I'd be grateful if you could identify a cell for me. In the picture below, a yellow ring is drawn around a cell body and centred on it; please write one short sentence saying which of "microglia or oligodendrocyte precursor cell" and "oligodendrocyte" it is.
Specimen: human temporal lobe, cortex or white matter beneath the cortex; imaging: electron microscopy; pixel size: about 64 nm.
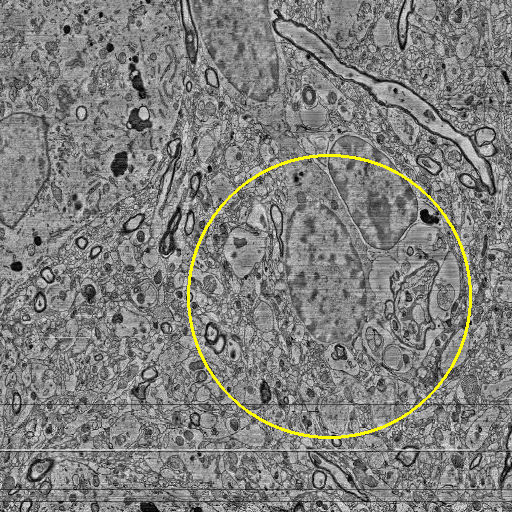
The cell under the ring's centre is an oligodendrocyte.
